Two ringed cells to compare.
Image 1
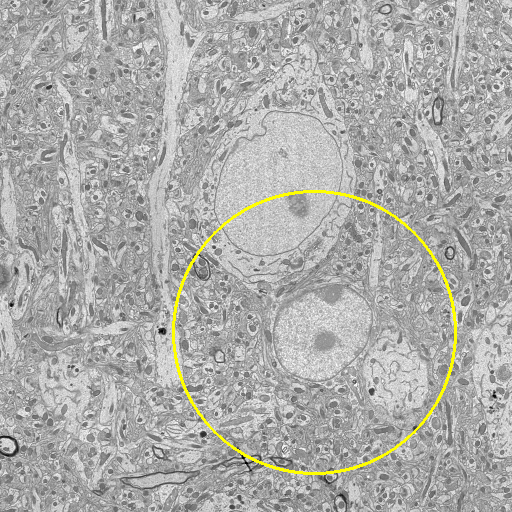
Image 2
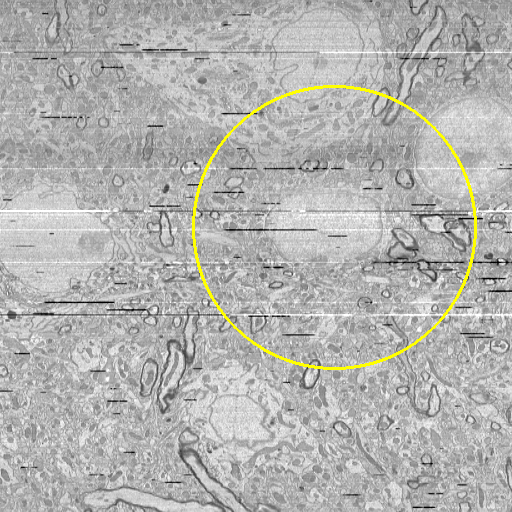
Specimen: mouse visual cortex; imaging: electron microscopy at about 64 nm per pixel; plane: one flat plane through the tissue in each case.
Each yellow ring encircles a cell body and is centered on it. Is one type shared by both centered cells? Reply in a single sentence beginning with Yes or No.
Yes, a single type is shared by the two cells at the centers of the rings.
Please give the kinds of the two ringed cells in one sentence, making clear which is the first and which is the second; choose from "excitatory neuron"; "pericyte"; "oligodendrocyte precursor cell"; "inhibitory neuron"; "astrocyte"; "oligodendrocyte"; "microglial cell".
Each one of the two ringed cells is an astrocyte.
